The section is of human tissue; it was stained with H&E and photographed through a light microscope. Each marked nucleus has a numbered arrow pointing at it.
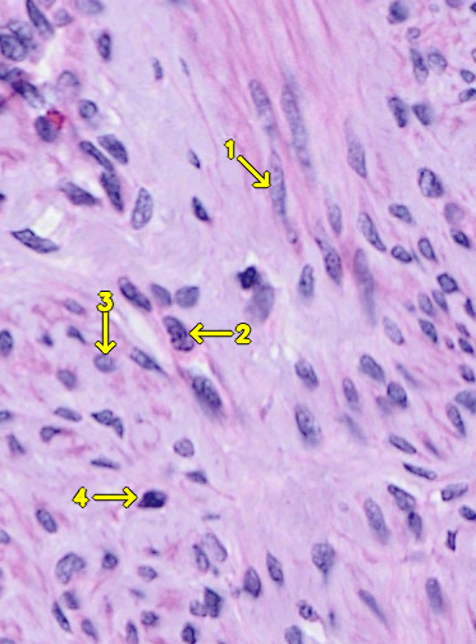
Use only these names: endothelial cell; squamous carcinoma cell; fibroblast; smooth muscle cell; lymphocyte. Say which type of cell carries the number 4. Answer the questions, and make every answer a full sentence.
The cell indicated by marker 4 is a lymphocyte in this section.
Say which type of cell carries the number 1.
The cell tagged with 1 in this tissue section is a smooth muscle cell.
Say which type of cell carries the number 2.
The cell that carries the label 2 is an endothelial cell.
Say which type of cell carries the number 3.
Here, the cell given the number 3 is a smooth muscle cell.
